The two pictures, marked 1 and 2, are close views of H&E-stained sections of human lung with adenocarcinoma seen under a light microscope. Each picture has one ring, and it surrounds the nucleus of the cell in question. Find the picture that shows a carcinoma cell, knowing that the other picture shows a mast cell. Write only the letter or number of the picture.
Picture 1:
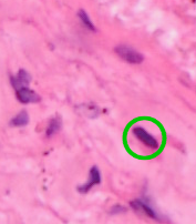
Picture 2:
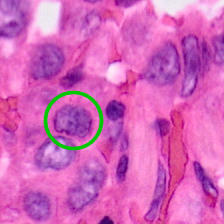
2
